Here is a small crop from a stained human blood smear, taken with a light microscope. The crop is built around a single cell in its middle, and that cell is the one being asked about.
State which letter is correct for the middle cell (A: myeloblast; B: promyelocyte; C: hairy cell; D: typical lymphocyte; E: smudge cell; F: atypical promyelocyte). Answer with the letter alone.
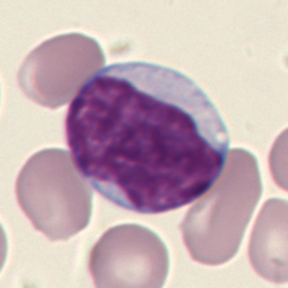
A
